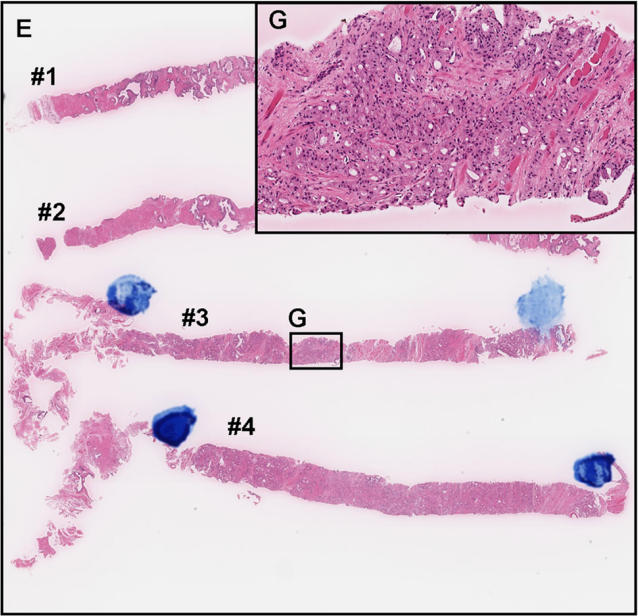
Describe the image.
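Four long, thin cores of tissue stained pink and purple lie across the slide, two of them with blue ink marks at their ends, and an enlarged inset shows a small area of one core at higher magnification. In the inset, many small glands with tiny or barely visible lumens are packed closely together and seem fused into cords and sheets. Pink fibre bundles of the stroma run between and through the crowded glands. This is prostate adenocarcinoma forming small fused glands that infiltrate the cores.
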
